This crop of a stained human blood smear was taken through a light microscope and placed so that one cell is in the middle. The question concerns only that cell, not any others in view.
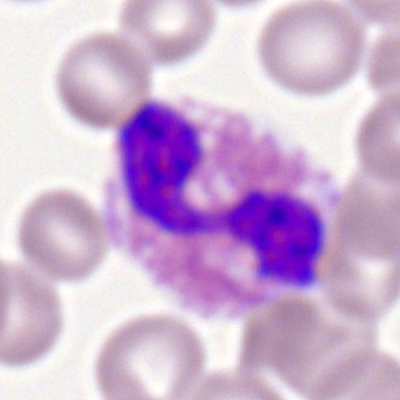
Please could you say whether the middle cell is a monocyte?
no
